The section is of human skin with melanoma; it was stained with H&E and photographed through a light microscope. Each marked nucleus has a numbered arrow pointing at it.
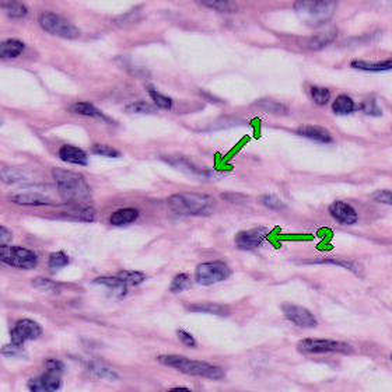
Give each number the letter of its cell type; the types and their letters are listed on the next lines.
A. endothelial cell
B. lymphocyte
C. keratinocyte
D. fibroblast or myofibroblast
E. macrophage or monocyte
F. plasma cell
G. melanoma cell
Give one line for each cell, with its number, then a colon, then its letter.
1: D
2: B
